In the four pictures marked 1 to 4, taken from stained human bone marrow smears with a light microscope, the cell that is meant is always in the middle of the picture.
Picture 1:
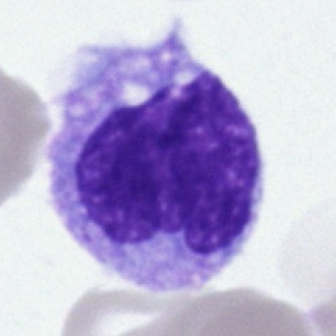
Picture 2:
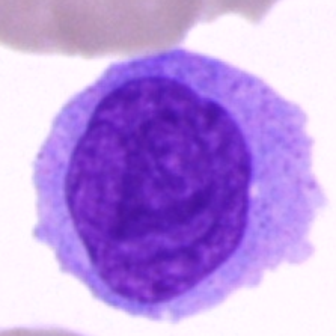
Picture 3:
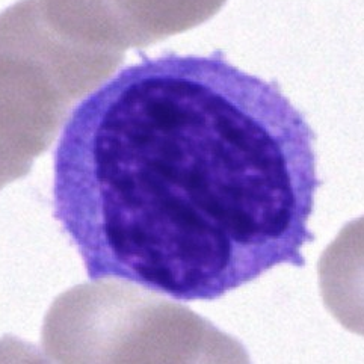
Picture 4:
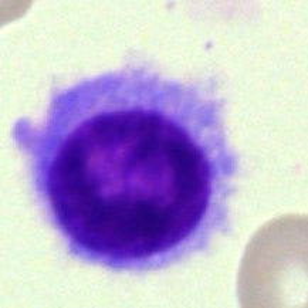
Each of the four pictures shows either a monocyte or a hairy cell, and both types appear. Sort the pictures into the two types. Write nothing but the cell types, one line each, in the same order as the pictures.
monocyte
monocyte
monocyte
hairy cell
